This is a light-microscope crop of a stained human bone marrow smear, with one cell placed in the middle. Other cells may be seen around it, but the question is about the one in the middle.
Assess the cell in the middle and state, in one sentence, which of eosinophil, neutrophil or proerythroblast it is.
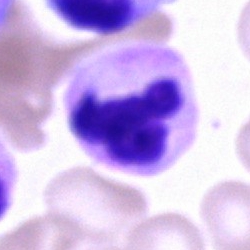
The crop's centre is taken up by a neutrophil.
